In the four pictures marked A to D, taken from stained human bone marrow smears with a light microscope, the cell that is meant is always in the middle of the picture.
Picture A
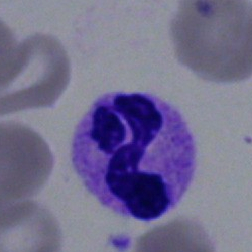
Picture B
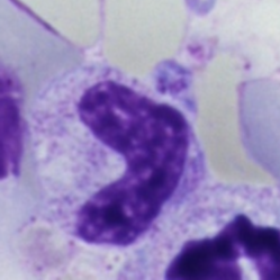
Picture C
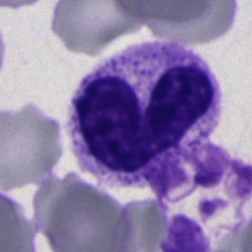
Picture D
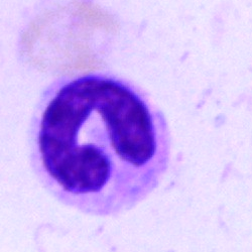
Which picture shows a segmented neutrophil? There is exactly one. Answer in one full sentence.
It is picture A that shows the segmented neutrophil.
